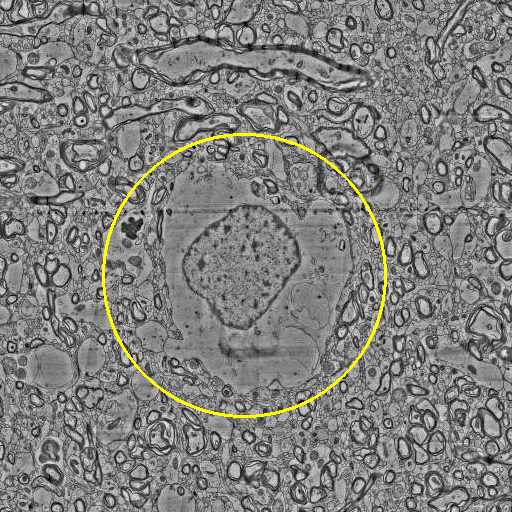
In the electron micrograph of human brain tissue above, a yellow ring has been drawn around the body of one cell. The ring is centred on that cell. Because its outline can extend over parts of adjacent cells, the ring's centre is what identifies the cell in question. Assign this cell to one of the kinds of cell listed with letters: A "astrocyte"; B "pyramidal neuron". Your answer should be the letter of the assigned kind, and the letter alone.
A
